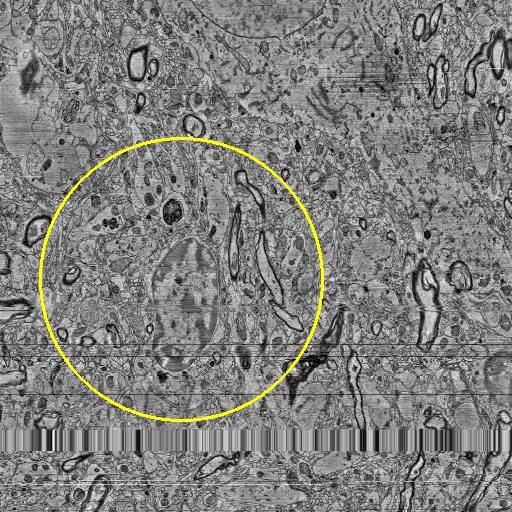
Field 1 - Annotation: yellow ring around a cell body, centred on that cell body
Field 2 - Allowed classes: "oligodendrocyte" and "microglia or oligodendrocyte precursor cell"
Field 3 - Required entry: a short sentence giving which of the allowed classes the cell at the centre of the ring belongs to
The centred cell is a microglial cell or oligodendrocyte precursor cell.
